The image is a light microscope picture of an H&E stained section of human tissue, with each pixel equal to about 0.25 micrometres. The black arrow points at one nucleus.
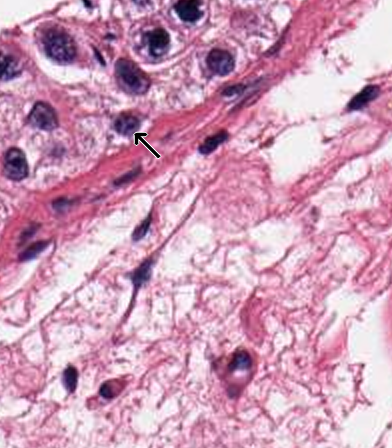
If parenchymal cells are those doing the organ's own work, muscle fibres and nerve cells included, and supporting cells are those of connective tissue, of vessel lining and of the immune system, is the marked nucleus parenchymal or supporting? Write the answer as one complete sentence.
The marked nucleus lies within a parenchymal cell, which is a spermatogonium.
